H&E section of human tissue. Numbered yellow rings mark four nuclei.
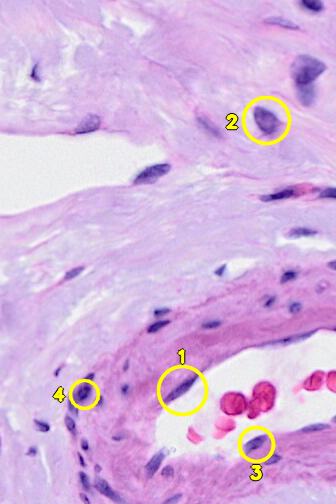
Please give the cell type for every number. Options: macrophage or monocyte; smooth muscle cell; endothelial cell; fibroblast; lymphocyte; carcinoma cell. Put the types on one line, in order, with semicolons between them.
endothelial cell; fibroblast; endothelial cell; smooth muscle cell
